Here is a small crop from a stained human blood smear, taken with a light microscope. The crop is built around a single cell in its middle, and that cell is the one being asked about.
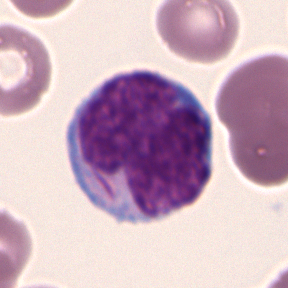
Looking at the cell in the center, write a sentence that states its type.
The cell found in the middle of this crop is an atypical promyelocyte.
